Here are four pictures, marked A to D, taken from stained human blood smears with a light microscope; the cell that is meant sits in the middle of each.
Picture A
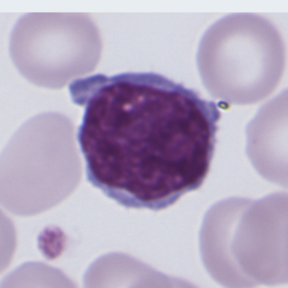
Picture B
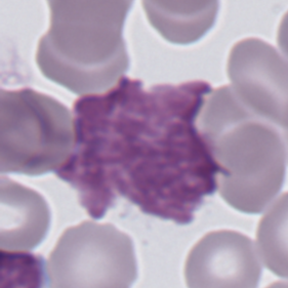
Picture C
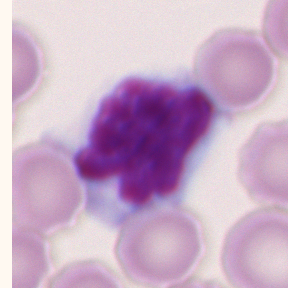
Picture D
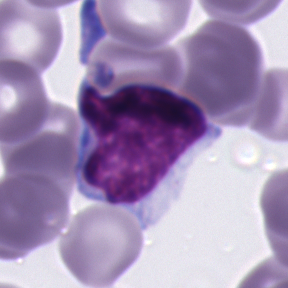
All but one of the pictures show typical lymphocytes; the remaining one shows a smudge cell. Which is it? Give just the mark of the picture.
B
